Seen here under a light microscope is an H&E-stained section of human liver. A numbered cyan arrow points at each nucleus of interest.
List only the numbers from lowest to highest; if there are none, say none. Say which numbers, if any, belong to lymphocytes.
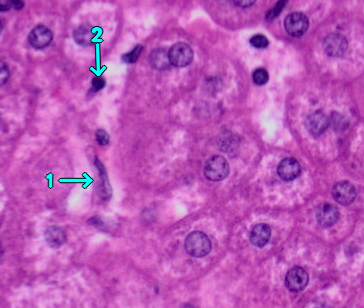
2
